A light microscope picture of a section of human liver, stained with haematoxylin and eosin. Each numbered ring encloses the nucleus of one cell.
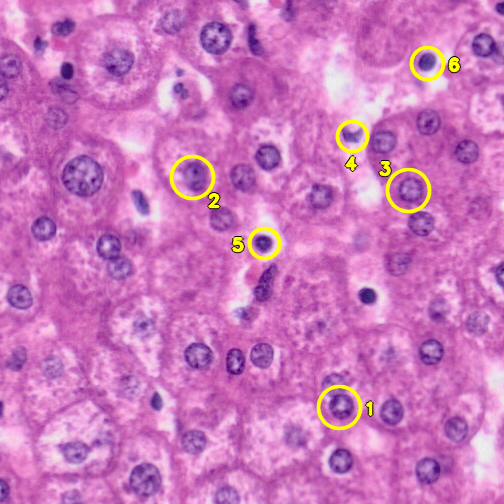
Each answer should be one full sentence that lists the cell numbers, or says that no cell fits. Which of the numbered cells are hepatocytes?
The cells given the numbers 1, 2 and 3 are hepatocytes.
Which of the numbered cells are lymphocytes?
Within this tissue, the cells numbered 5 and 6 are lymphocytes.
